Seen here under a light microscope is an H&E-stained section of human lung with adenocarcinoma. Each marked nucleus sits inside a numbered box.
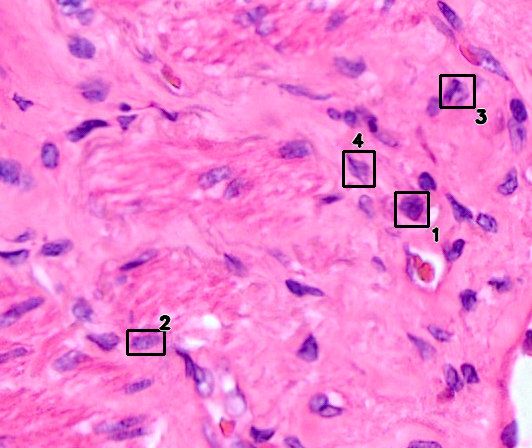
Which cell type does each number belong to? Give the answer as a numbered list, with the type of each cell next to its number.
1. plasma cell
2. smooth muscle cell or pericyte
3. fibroblast
4. fibroblast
